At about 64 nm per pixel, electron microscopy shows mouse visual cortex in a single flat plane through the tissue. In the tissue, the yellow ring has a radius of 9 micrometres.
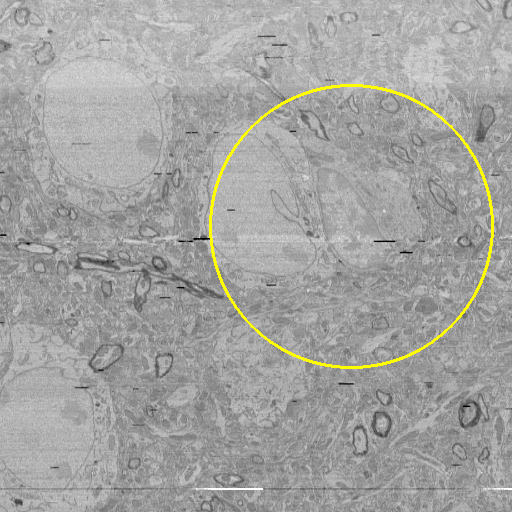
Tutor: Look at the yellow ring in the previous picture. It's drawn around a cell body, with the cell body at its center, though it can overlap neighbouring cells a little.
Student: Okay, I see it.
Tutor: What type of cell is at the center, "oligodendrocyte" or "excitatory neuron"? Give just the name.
oligodendrocyte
